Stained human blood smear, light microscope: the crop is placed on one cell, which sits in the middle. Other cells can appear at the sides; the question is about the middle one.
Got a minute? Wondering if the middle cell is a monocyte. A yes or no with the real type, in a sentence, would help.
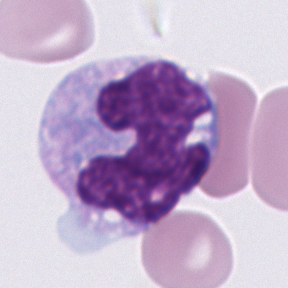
Yes, it is a monocyte that occupies the centre of the crop.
